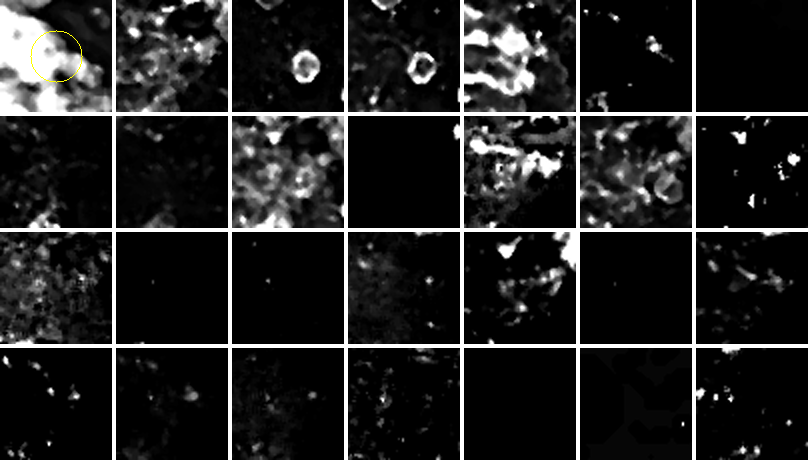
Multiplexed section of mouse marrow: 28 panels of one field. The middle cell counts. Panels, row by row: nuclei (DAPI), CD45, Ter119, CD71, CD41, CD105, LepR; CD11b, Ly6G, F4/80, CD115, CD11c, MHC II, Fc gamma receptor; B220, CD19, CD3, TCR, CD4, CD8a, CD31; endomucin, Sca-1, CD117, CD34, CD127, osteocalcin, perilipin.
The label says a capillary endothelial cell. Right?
Wrong: this is an erythroblast.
